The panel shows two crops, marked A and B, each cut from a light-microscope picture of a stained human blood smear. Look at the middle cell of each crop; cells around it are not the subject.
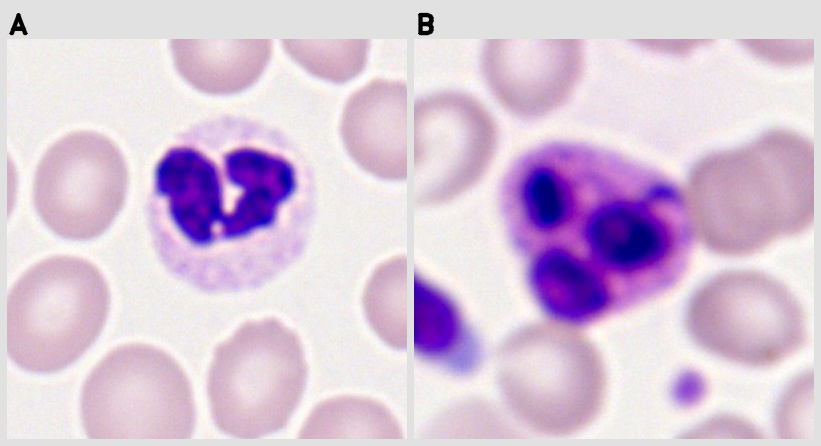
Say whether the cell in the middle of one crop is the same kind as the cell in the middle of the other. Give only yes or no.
no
